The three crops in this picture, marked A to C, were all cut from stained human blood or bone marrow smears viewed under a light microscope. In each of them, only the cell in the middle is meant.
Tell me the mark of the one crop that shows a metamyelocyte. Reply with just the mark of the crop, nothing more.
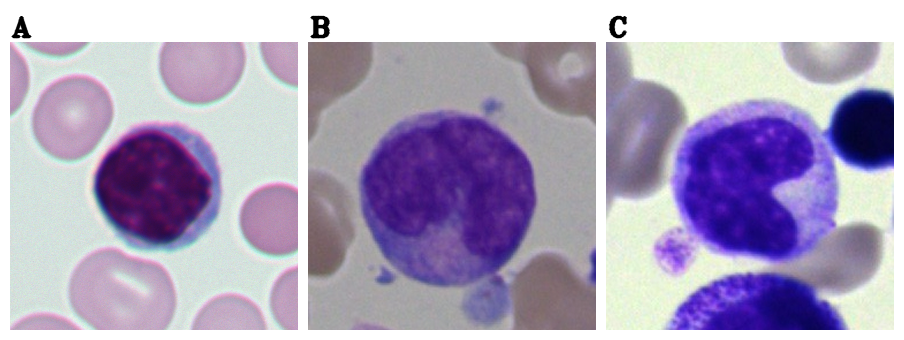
C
